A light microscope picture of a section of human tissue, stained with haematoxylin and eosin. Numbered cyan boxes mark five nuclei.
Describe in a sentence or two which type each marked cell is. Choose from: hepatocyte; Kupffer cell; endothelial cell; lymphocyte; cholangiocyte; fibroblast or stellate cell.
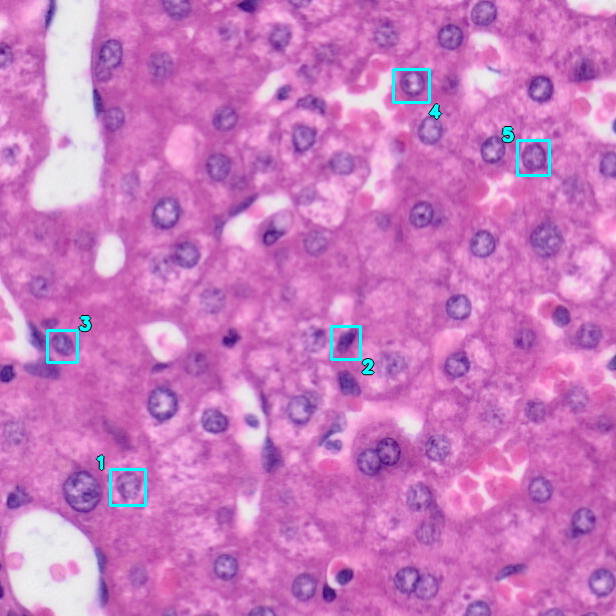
Cells 1, 4 and 5 are hepatocytes. Cell 2 is a fibroblast or stellate cell. Cell 3 is a cholangiocyte.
